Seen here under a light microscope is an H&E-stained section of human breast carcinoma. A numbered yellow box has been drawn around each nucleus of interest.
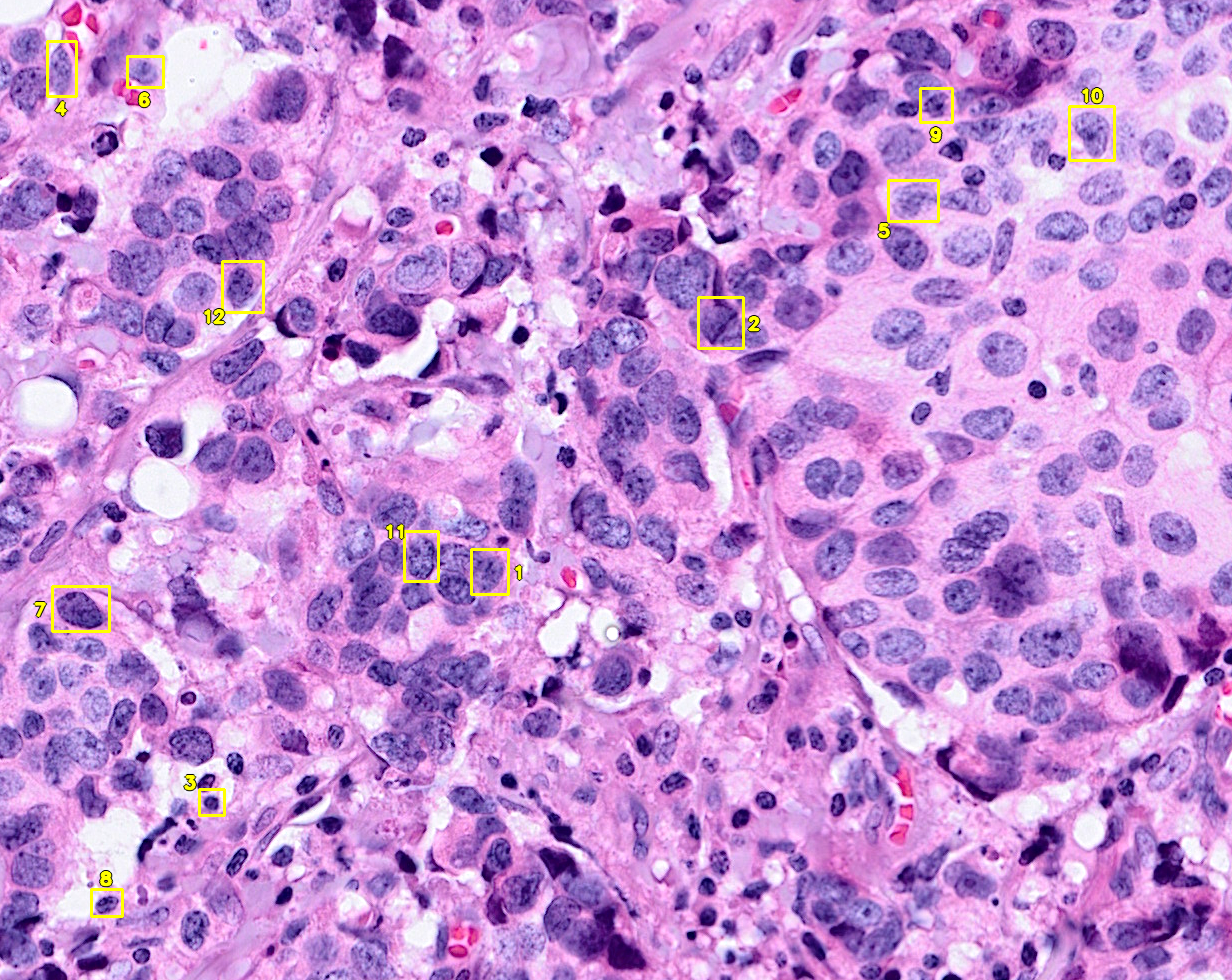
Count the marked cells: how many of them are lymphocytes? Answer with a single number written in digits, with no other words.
3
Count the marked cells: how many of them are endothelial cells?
2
